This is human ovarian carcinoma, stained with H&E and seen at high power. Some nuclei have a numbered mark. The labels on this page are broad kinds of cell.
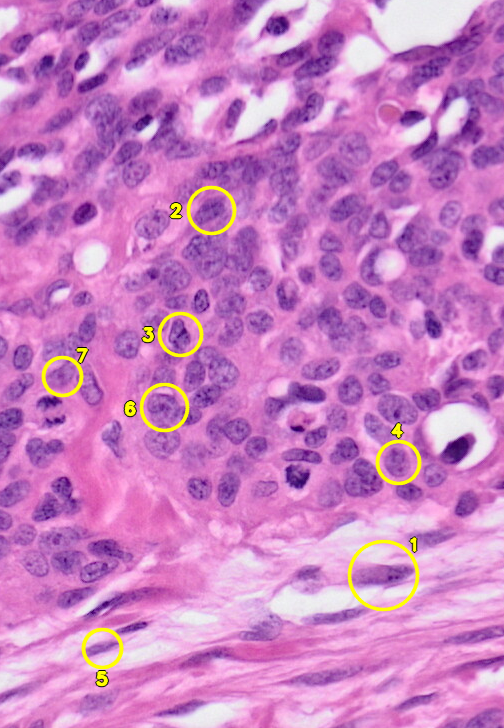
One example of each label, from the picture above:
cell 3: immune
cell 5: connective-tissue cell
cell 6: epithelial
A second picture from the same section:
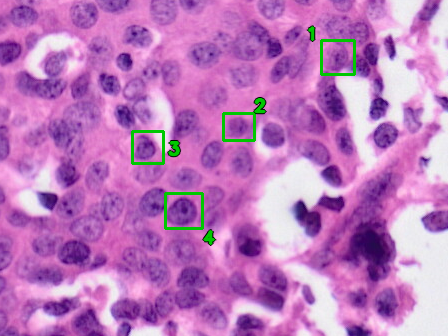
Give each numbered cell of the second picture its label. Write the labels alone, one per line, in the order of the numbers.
epithelial
epithelial
immune
epithelial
